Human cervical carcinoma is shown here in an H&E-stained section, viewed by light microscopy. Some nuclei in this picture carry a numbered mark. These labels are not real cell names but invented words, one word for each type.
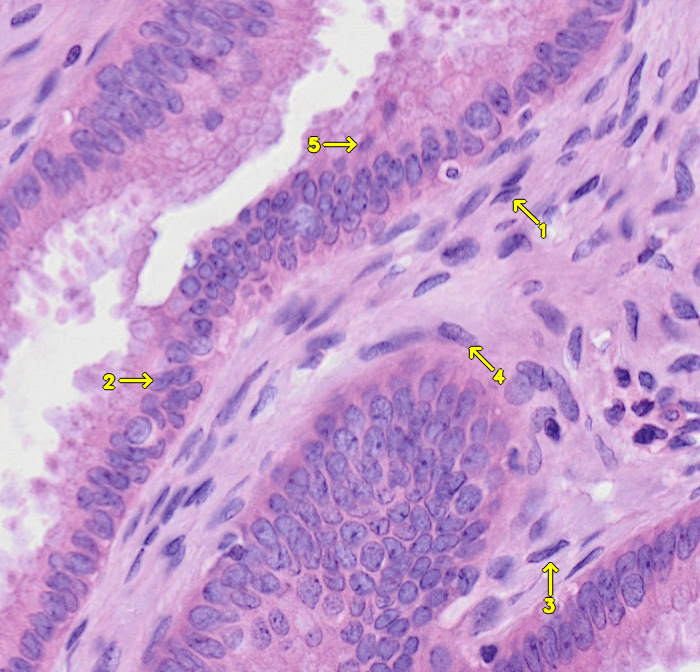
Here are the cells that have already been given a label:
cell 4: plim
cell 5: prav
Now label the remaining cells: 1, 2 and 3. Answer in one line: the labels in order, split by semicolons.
plim; prav; plim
